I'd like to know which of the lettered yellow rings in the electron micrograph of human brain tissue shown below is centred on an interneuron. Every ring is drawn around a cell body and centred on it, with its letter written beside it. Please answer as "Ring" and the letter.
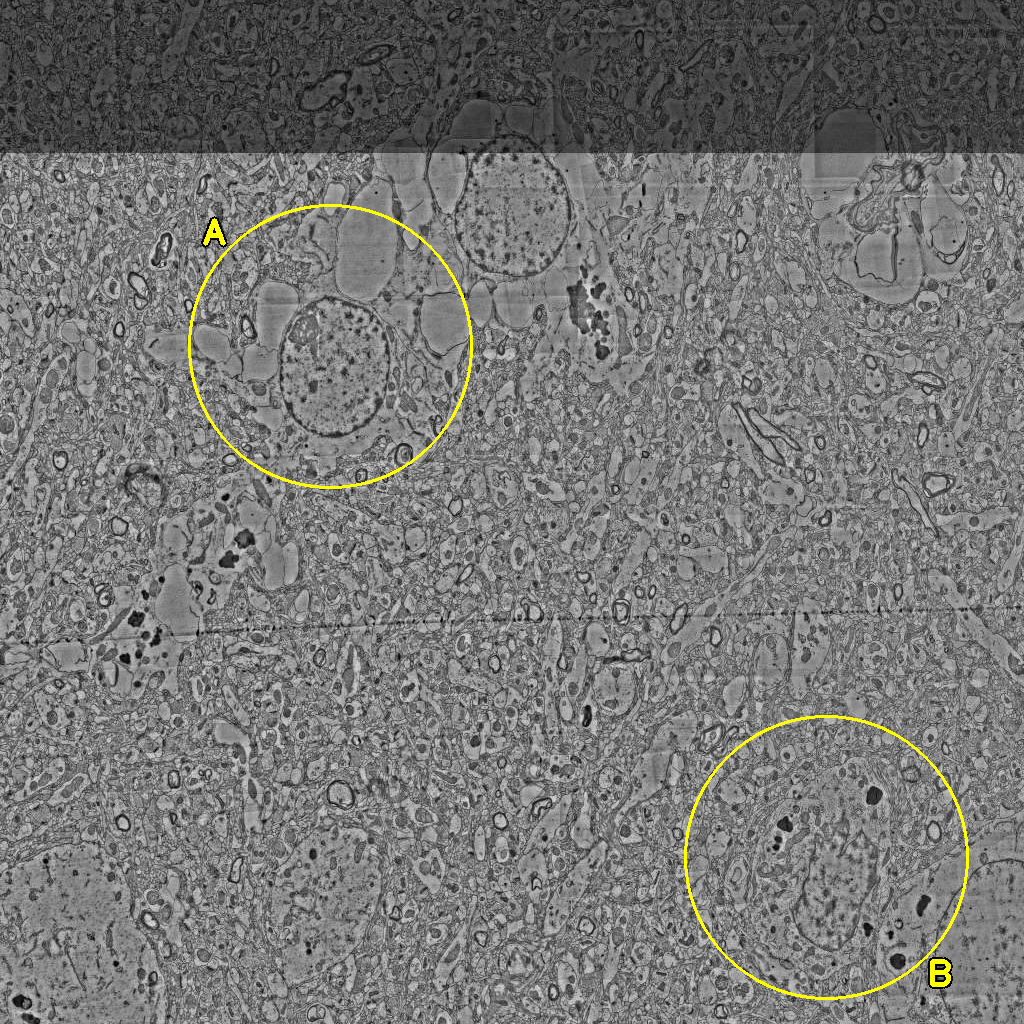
Ring B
